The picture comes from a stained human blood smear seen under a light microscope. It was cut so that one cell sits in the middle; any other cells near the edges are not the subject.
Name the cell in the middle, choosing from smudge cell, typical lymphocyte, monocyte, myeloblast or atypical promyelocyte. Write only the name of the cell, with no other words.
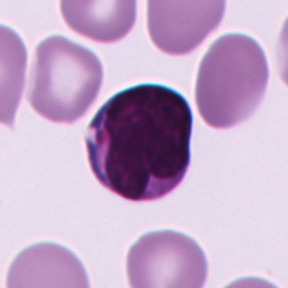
typical lymphocyte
